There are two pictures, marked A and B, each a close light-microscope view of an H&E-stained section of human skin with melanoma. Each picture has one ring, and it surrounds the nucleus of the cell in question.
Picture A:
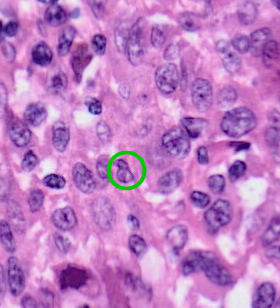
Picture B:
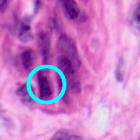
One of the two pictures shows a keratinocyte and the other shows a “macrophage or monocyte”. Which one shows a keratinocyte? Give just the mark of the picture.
B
